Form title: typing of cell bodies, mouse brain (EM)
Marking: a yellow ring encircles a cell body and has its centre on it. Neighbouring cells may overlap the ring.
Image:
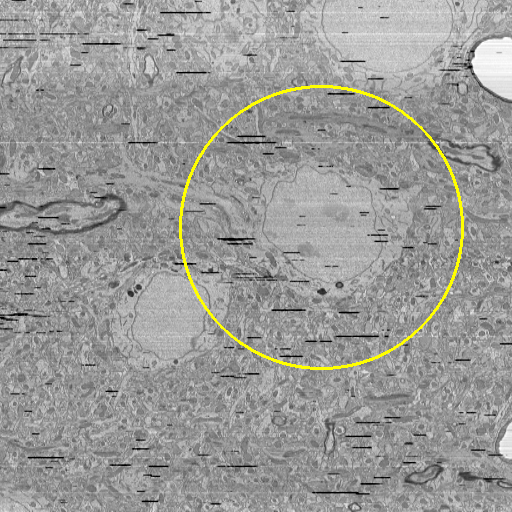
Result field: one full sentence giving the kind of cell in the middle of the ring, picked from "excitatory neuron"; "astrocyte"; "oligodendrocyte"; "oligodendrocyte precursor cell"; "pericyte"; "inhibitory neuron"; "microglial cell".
In the picture, the ring is centred on an excitatory neuron, whose cell body it encircles.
